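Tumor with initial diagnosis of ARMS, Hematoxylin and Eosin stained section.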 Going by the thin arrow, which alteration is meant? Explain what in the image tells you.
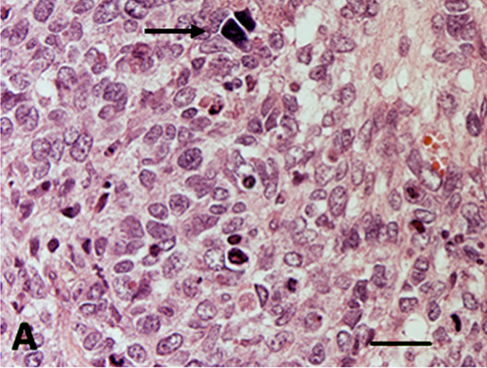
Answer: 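Hypercromatic nuclei. The arrowed cell has a very dark, almost black-purple nucleus. Its nucleus is much darker than those of most neighbouring cells.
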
